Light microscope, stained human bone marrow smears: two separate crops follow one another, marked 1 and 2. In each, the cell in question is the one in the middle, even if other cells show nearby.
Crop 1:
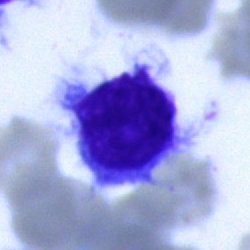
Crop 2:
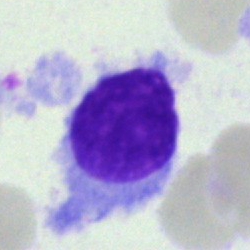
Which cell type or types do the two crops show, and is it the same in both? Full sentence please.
Yes, both crops show hairy cells, one in each.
